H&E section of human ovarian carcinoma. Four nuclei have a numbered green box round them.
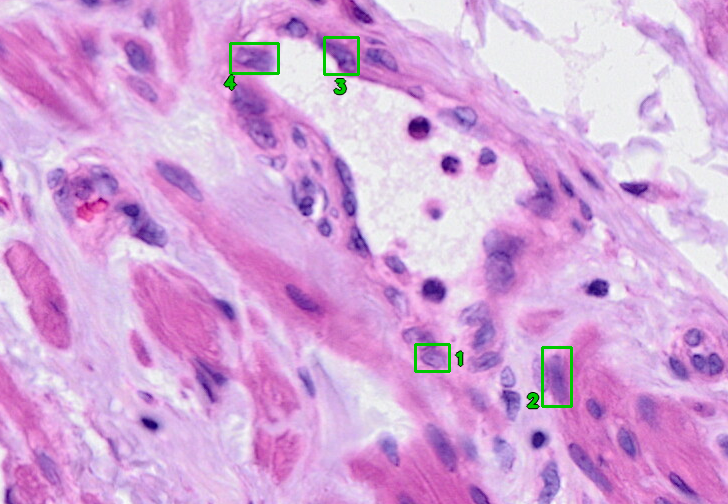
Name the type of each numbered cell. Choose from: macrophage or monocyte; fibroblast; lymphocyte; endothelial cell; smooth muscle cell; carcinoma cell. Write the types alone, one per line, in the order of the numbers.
endothelial cell
smooth muscle cell
endothelial cell
endothelial cell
